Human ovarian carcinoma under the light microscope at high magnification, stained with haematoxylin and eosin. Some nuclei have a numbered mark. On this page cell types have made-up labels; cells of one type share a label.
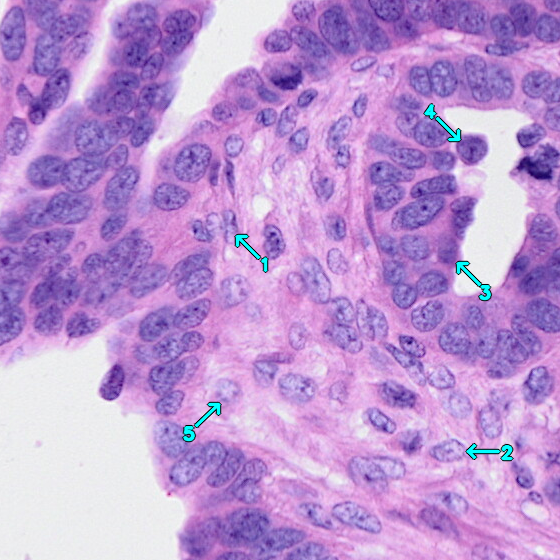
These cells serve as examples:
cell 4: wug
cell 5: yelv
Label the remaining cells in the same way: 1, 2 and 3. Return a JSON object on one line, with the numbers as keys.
{"1": "yelv", "2": "yelv", "3": "wug"}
